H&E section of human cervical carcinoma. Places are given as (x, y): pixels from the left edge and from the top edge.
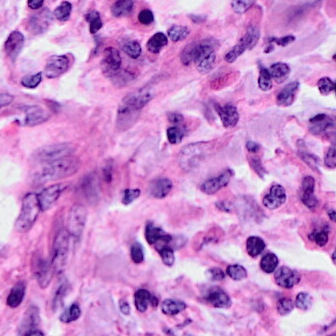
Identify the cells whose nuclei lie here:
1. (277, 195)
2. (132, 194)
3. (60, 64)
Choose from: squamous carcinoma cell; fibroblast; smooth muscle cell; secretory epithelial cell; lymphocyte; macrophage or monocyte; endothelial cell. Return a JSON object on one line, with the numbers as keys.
{"1": "lymphocyte", "2": "lymphocyte", "3": "macrophage or monocyte"}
